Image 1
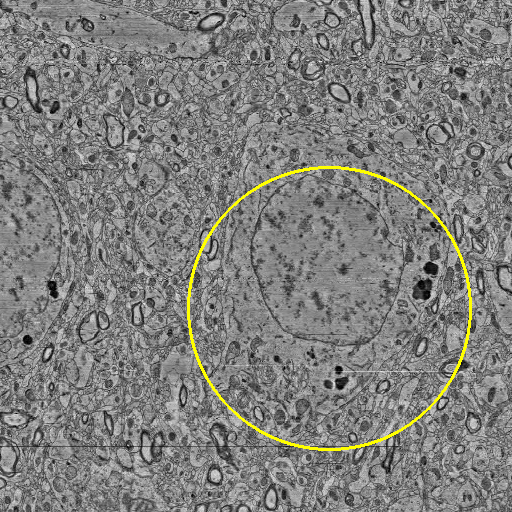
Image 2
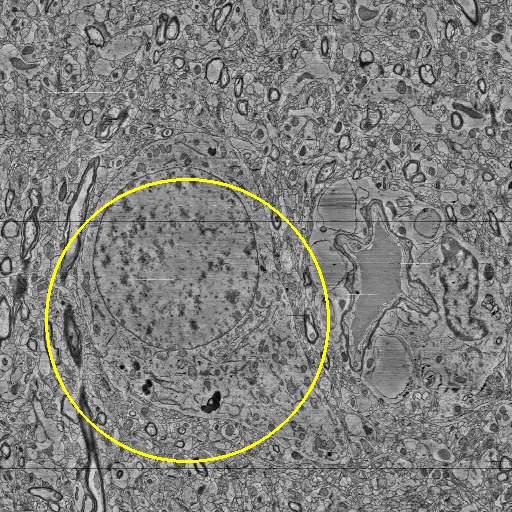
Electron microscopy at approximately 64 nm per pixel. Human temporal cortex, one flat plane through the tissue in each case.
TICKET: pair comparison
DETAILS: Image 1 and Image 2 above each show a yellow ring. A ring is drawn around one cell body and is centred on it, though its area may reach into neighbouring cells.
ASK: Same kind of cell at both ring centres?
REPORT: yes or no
yes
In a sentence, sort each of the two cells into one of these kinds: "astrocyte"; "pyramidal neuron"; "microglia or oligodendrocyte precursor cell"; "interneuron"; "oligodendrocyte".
In the first picture and in the second, the ring is centred on a pyramidal neuron.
